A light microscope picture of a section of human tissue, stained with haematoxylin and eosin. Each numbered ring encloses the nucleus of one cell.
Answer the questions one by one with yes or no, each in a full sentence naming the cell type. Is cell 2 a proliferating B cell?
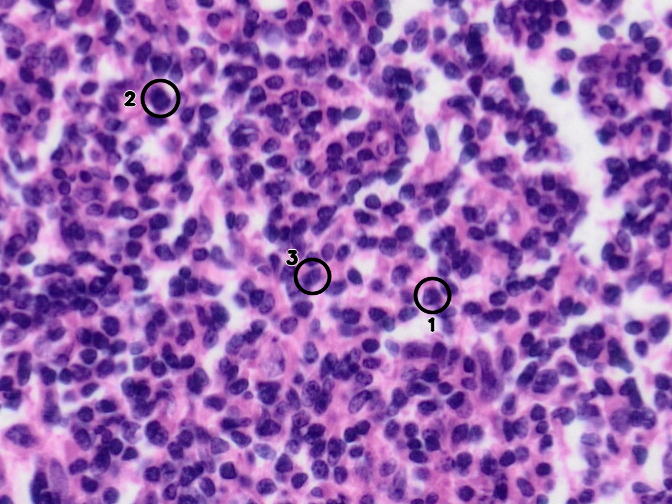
Yes, in the section, number 2 is a proliferating B cell.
